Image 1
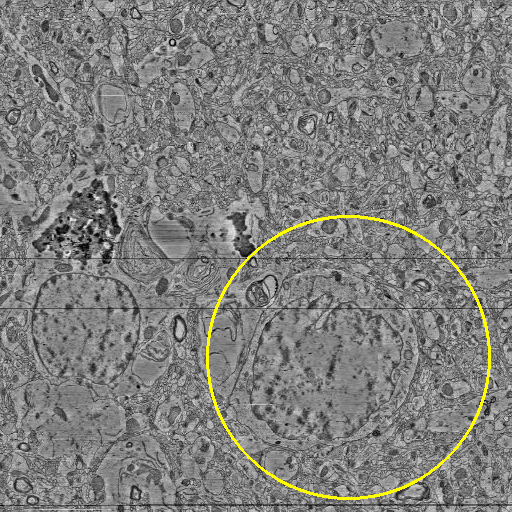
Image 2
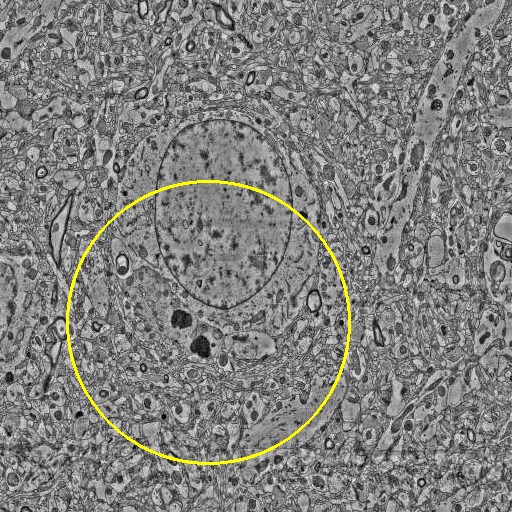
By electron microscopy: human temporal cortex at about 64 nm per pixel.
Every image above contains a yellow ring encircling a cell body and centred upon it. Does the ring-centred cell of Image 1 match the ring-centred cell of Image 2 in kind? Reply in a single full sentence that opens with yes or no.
No, the cell at the ring's centre in Image 1 is a separate kind from that in Image 2.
